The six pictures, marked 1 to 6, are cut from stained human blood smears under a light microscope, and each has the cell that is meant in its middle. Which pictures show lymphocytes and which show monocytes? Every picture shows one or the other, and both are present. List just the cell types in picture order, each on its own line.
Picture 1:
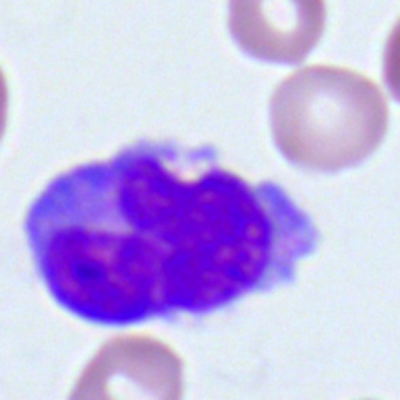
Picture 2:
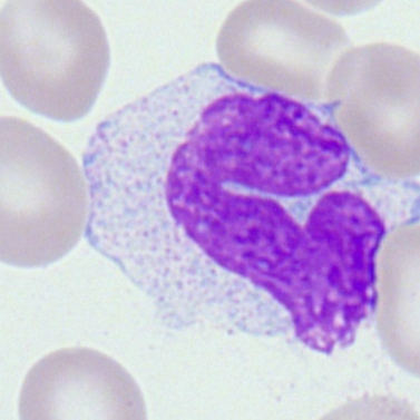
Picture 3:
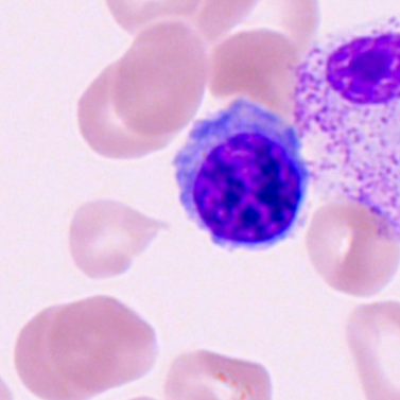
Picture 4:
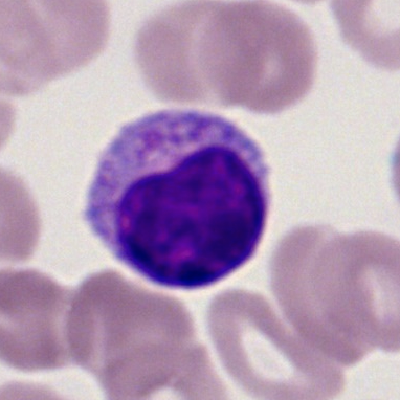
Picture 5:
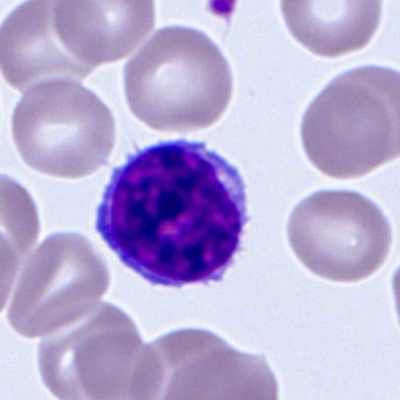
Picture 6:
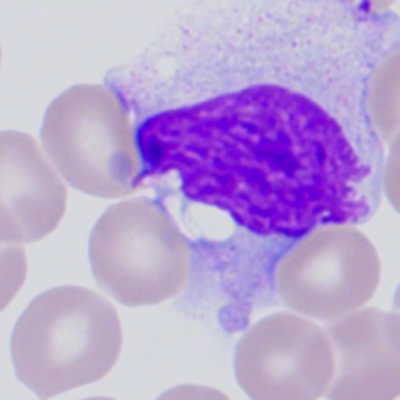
monocyte
monocyte
lymphocyte
lymphocyte
lymphocyte
monocyte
